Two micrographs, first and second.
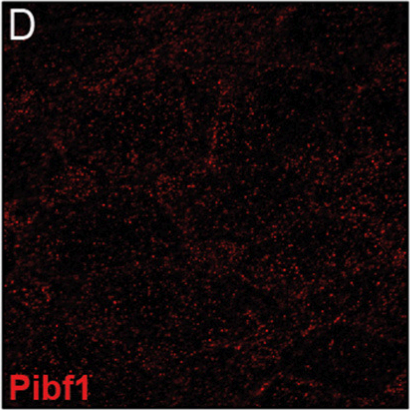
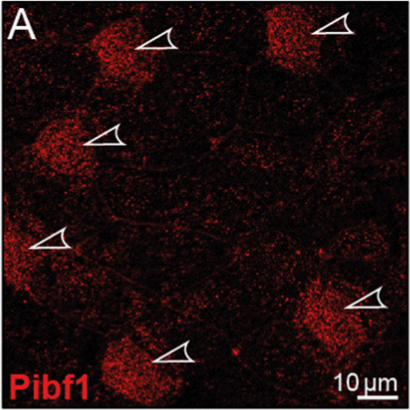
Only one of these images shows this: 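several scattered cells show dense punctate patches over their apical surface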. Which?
The second image.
